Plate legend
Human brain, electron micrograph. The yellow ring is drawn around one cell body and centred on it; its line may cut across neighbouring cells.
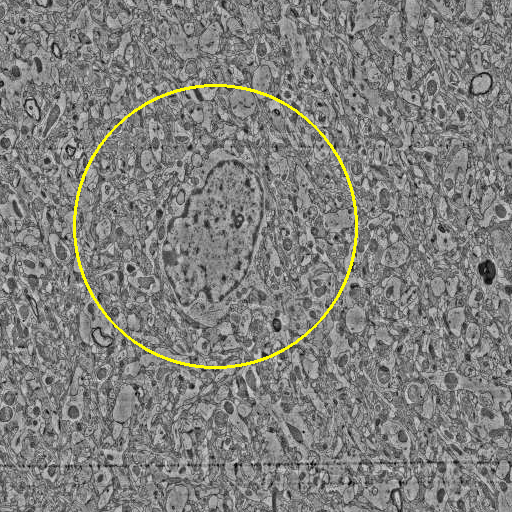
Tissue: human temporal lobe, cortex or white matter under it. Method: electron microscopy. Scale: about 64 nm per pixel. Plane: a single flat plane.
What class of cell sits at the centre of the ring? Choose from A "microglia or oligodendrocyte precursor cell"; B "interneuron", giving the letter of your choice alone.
A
